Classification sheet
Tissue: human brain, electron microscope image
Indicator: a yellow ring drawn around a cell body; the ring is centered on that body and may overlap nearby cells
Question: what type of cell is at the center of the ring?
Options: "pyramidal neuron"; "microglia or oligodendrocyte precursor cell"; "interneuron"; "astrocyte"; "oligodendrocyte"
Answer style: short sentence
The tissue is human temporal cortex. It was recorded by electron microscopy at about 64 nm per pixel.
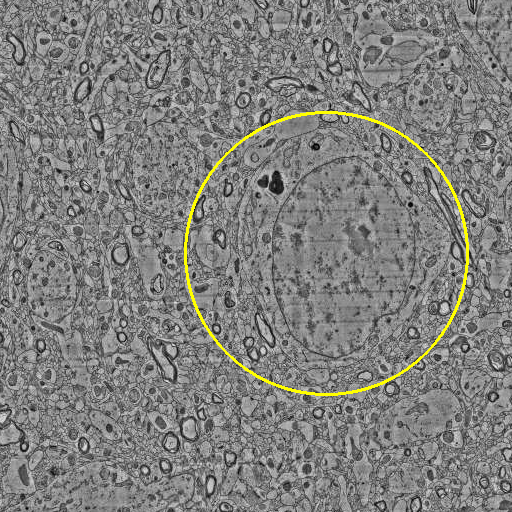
At the ring's center is a pyramidal neuron.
